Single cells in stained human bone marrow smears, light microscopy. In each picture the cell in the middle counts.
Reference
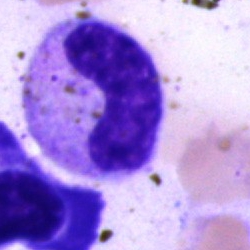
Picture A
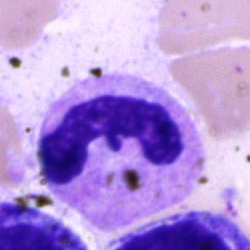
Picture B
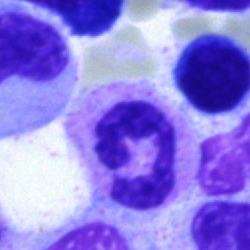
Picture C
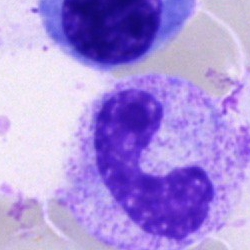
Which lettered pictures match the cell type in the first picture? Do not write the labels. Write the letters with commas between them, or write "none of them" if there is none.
A, C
